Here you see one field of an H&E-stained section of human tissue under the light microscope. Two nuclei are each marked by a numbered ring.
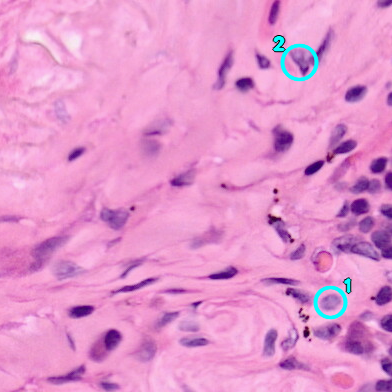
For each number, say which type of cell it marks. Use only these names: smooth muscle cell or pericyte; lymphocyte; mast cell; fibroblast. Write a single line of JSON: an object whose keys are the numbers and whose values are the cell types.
{"1": "mast cell", "2": "fibroblast"}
